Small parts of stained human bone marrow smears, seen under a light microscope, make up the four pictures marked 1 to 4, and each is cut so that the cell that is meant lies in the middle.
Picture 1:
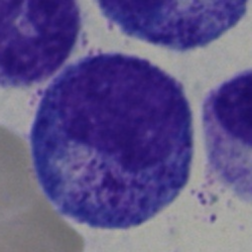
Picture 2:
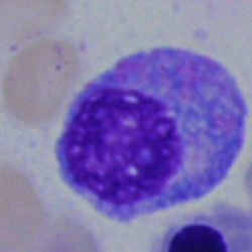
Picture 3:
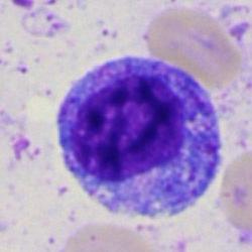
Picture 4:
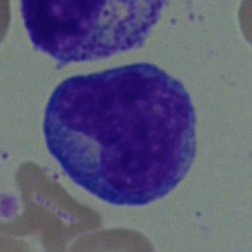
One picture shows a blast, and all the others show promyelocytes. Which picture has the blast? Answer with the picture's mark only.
4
